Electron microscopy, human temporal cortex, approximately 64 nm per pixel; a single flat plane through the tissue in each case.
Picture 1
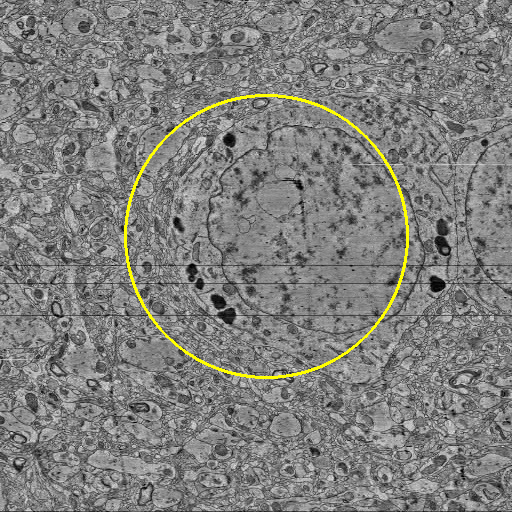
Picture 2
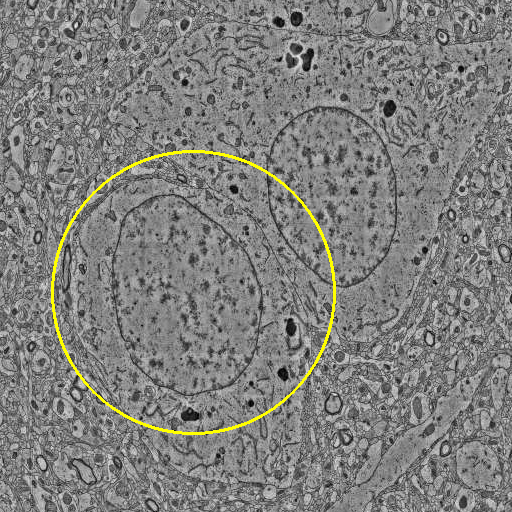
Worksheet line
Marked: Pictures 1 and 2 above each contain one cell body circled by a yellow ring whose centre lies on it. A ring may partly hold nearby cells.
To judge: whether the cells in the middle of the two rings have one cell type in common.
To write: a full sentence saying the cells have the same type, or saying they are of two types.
The cells in the middle of the rings in Picture 1 and Picture 2 have the same type.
